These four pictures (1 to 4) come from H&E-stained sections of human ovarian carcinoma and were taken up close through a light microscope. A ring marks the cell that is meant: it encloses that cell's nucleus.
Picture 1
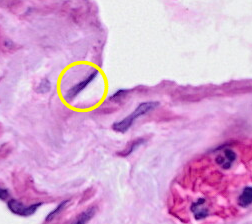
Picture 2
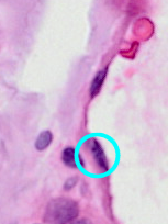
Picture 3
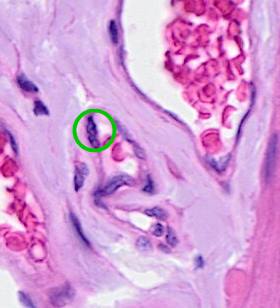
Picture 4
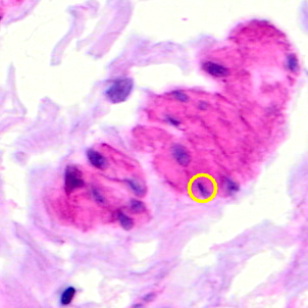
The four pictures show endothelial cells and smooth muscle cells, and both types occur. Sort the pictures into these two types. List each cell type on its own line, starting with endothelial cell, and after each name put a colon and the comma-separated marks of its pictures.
endothelial cell: 1, 2, 3
smooth muscle cell: 4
